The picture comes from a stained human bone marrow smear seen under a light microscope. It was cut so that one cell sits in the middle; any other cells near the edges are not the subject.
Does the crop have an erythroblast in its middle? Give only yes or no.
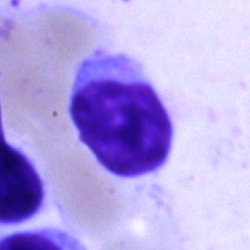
no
